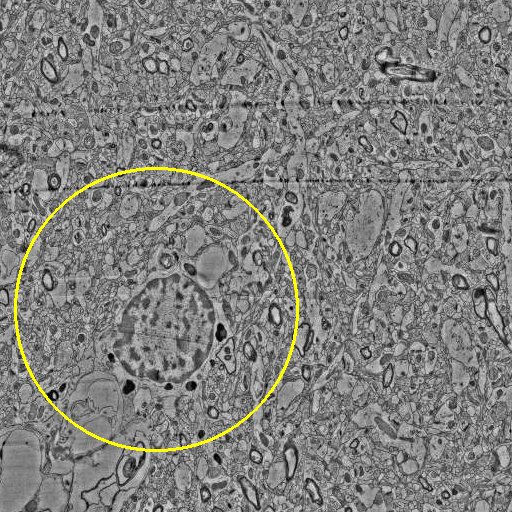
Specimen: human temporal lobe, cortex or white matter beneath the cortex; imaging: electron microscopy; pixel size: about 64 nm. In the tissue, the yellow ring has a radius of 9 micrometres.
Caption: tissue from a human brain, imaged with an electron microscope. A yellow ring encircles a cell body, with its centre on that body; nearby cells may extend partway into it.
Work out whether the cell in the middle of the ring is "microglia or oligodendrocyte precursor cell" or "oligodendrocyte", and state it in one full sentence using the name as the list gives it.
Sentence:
In the picture, the cell that the yellow ring surrounds at its centre is a microglial cell or oligodendrocyte precursor cell.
